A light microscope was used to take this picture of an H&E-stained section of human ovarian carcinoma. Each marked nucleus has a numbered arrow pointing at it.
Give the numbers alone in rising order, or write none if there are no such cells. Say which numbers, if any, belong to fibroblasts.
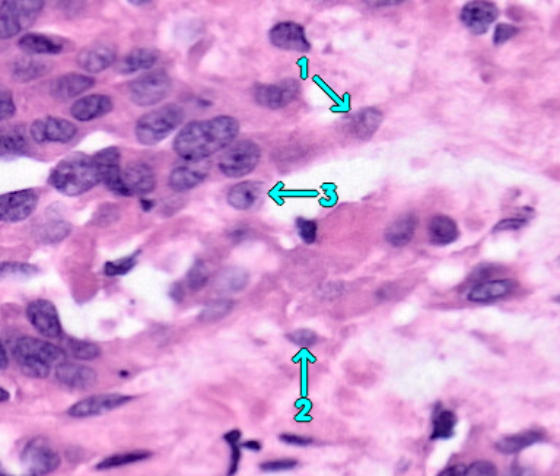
1, 2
